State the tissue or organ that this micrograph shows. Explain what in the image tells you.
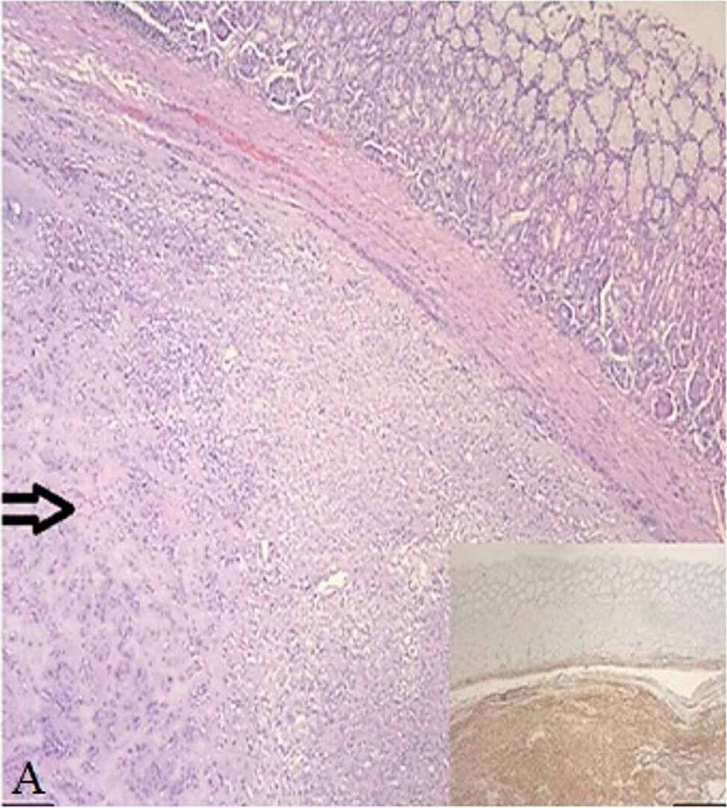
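The upper right shows closely packed round and tubular glands. The glandular layer sits on a pink band of fibrous and muscular tissue.
Gastric mucosa.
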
